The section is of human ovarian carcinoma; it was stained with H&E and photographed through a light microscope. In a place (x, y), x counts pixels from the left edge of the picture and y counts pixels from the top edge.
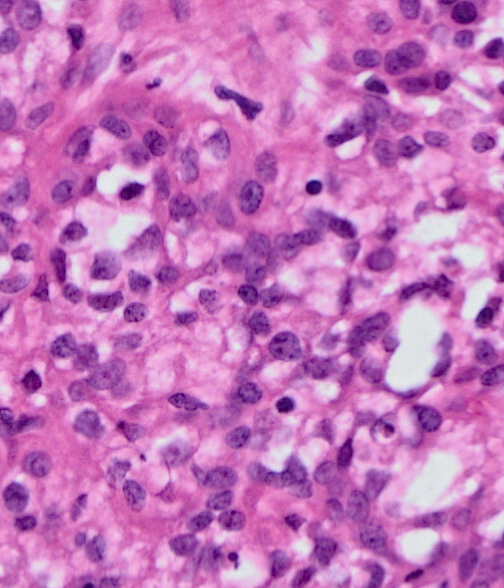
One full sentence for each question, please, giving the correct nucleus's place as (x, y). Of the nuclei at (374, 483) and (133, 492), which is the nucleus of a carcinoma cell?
It is the nucleus at (374, 483) that forms part of a carcinoma cell.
